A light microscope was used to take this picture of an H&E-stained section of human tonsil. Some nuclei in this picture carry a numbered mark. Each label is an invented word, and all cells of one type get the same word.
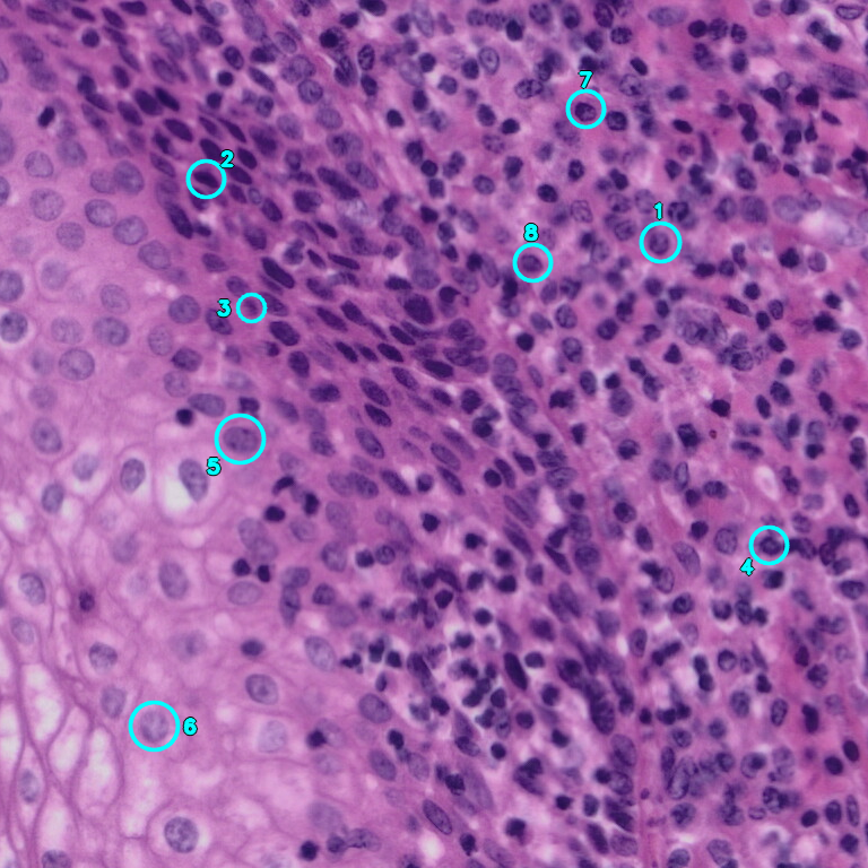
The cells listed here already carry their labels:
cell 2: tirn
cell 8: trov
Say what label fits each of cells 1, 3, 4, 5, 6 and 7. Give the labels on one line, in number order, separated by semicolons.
trov; tirn; trov; tirn; tirn; trov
